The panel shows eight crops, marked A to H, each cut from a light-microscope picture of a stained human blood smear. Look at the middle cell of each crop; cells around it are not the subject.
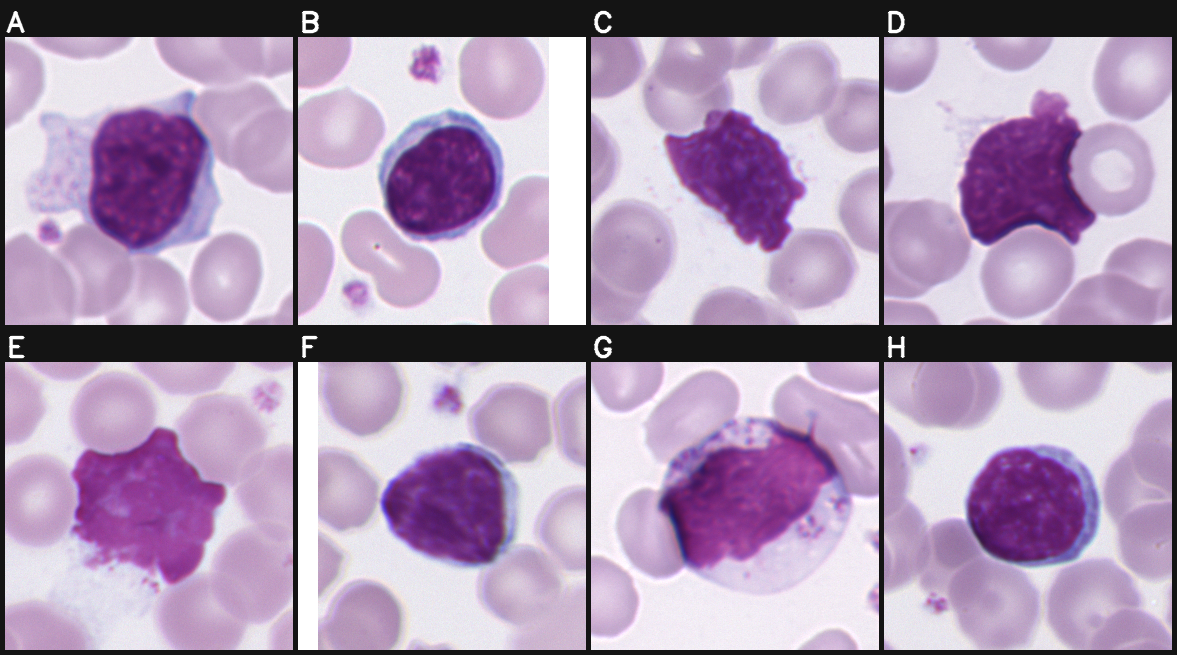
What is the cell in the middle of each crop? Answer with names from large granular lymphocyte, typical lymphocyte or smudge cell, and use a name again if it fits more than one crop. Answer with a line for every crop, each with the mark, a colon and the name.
A: large granular lymphocyte
B: typical lymphocyte
C: smudge cell
D: smudge cell
E: smudge cell
F: typical lymphocyte
G: large granular lymphocyte
H: typical lymphocyte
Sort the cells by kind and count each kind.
typical lymphocyte: 3
smudge cell: 3
large granular lymphocyte: 2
